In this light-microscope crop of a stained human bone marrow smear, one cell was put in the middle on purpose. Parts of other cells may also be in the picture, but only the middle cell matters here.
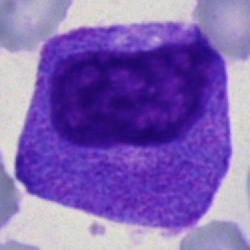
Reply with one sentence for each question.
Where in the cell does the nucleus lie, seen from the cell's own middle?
Toward the top of the cell lies its nucleus.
